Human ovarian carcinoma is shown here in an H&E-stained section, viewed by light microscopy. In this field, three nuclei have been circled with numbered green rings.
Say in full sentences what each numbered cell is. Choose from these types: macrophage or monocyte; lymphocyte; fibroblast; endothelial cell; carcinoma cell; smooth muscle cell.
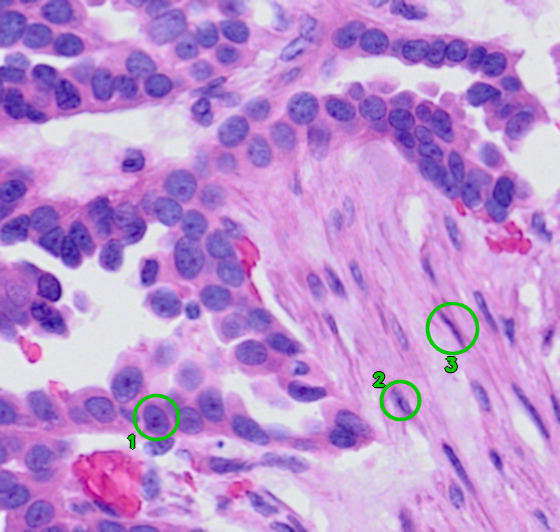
Cell 1 is a carcinoma cell, cell 2 is a fibroblast and cell 3 is a fibroblast.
